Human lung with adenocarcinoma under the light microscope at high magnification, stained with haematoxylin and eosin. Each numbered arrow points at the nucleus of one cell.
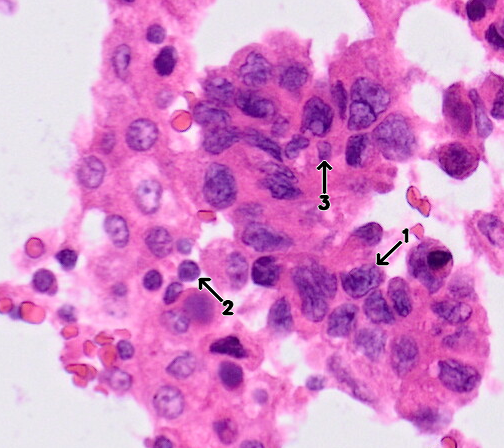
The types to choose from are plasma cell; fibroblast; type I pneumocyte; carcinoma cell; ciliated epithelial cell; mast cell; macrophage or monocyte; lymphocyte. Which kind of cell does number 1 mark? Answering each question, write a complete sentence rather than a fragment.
The numeral 1 marks a carcinoma cell in this section.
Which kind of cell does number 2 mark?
Here the cell numbered 2 is a lymphocyte.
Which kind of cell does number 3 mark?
The cell pointed out by number 3 is a carcinoma cell.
